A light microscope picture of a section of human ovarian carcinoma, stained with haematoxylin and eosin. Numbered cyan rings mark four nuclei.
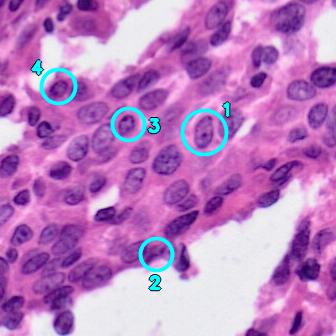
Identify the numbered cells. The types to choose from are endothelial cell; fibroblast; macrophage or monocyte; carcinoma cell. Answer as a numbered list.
1. macrophage or monocyte
2. carcinoma cell
3. macrophage or monocyte
4. carcinoma cell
